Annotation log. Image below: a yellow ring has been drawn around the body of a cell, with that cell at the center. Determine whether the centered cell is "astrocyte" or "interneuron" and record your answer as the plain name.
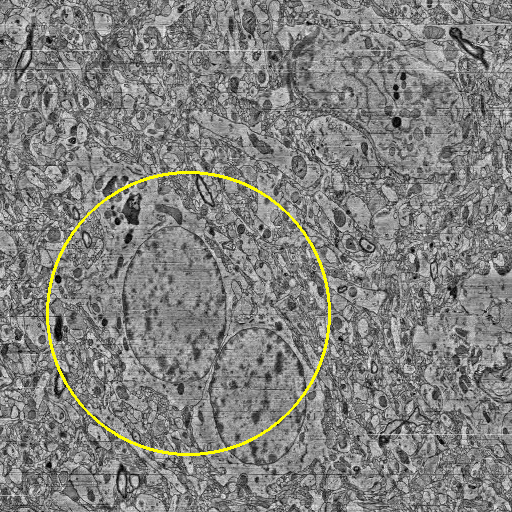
astrocyte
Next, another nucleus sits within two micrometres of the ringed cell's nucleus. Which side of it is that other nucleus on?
The other one is to the lower right of it.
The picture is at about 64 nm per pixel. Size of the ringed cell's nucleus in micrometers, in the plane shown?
In this plane the nucleus measures roughly 10 by 7 micrometers.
